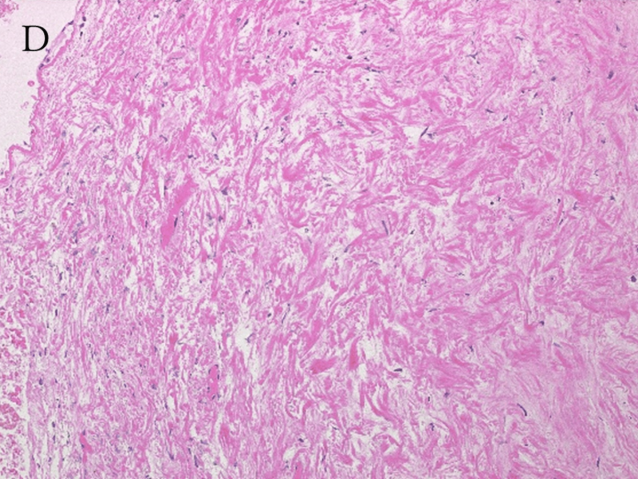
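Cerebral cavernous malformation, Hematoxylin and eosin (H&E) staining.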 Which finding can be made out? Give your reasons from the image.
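Fibrosis. Dense pink wavy fibres fill the panel. Sparse small elongated nuclei lie scattered among the fibres.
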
